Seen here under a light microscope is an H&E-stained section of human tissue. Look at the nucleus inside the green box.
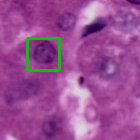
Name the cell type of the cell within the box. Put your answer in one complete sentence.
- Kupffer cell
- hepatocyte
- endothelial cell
The classification of the cell within the box is as a hepatocyte.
